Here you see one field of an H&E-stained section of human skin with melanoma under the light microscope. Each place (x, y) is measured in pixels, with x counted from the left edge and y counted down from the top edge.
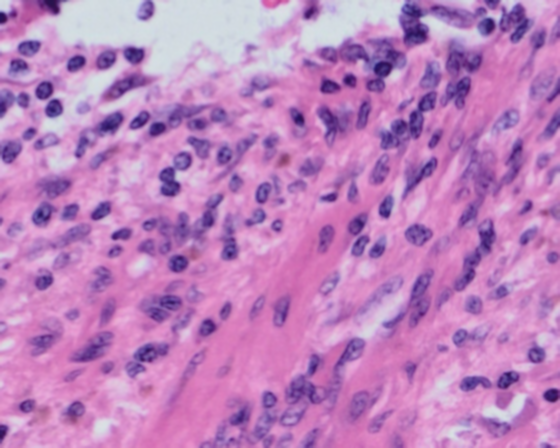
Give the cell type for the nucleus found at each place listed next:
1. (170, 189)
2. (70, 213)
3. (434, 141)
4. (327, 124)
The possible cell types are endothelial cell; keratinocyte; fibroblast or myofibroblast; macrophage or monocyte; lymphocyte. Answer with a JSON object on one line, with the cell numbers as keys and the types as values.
{"1": "lymphocyte", "2": "lymphocyte", "3": "lymphocyte", "4": "endothelial cell"}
